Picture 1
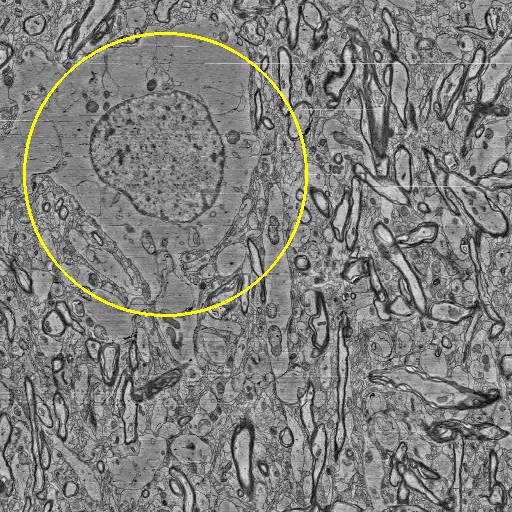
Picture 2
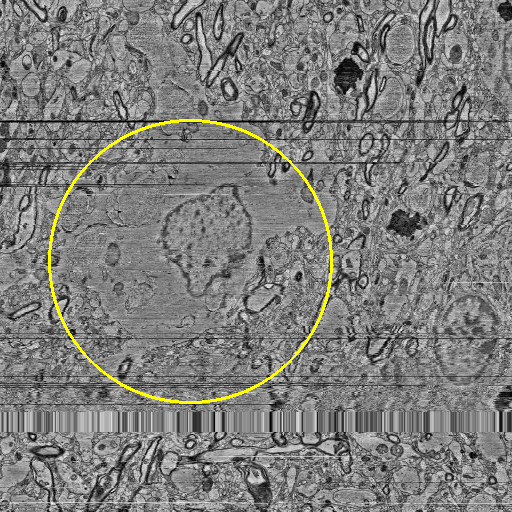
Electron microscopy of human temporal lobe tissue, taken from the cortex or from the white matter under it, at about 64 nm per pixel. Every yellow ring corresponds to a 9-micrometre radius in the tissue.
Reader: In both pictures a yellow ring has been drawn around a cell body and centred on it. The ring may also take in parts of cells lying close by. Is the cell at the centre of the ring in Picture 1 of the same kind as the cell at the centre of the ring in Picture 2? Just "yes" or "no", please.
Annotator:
yes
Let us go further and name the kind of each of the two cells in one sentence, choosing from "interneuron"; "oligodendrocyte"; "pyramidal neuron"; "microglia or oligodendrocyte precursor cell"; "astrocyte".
Each cell at the centre of a ring is an astrocyte.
